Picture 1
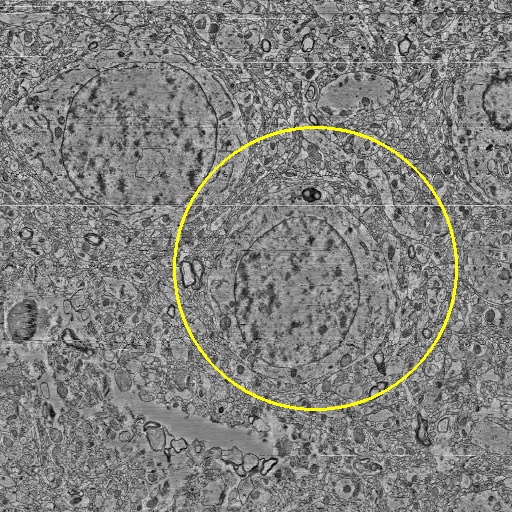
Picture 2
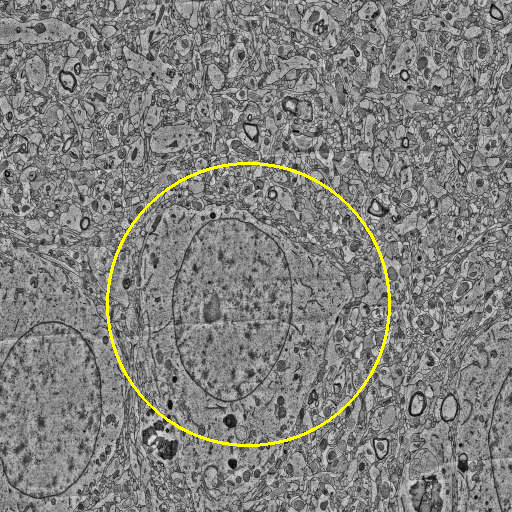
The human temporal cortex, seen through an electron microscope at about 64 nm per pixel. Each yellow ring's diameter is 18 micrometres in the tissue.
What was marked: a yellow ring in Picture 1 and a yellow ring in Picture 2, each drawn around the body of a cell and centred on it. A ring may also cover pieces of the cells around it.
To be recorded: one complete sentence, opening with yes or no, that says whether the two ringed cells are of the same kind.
Yes, the two ringed cells are of the same kind.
